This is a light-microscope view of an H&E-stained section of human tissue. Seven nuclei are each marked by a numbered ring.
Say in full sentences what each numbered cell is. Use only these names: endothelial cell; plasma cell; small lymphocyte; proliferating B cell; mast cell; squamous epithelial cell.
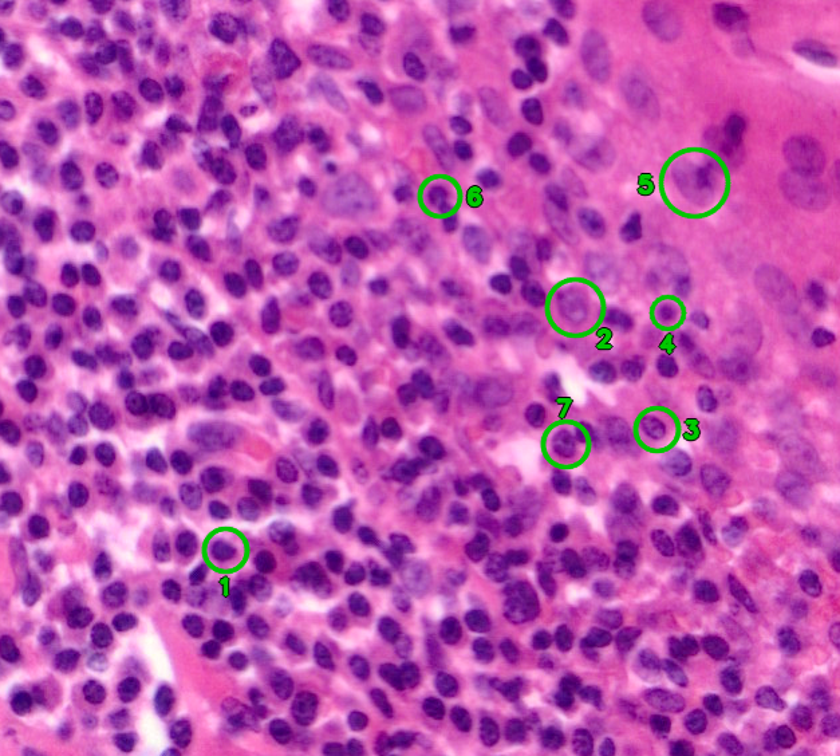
Cells 1, 3 and 7 are plasma cells. Cells 2, 4, 5 and 6 are squamous epithelial cells.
